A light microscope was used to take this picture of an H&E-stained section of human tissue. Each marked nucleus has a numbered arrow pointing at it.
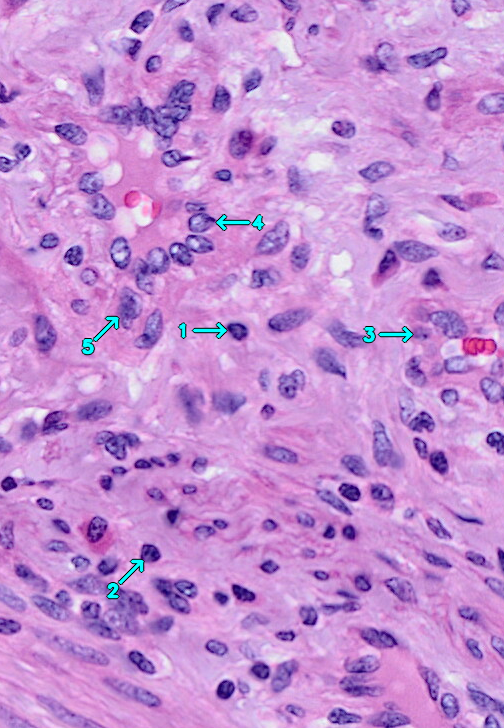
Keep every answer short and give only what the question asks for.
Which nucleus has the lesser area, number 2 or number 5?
2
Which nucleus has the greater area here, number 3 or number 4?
4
